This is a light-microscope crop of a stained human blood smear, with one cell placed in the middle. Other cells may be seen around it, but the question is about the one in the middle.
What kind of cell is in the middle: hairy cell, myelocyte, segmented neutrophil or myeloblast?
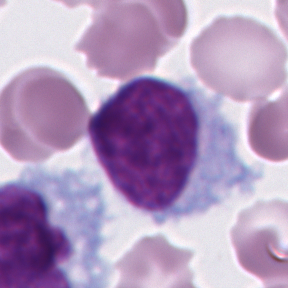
hairy cell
